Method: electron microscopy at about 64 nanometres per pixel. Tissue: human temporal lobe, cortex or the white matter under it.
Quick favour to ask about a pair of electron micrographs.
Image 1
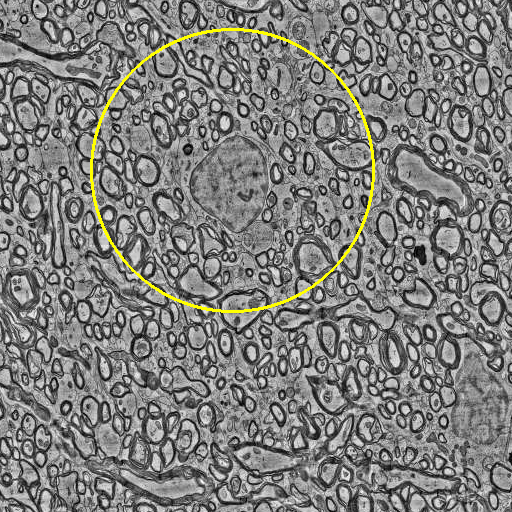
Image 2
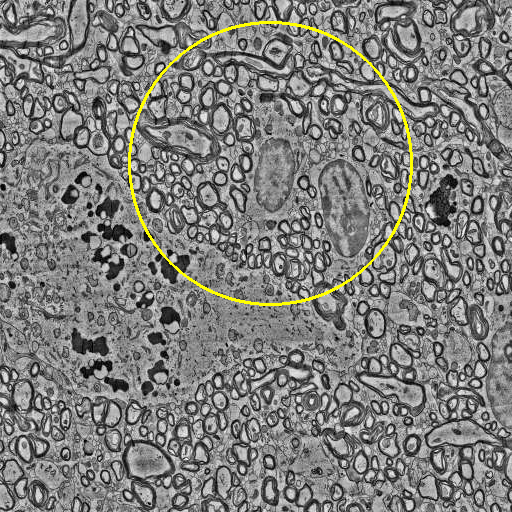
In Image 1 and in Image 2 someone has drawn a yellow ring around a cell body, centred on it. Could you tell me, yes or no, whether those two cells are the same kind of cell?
no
